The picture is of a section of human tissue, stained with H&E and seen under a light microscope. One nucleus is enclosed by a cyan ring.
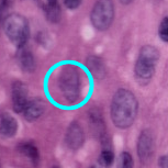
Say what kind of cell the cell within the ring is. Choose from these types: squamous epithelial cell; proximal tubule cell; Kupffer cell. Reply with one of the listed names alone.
squamous epithelial cell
